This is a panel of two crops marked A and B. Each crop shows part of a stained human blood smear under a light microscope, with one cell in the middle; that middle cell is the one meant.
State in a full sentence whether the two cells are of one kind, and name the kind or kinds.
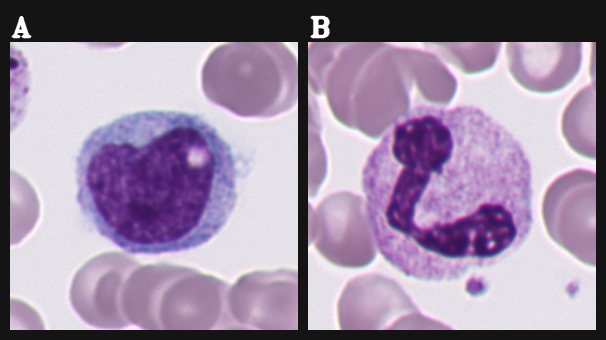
No, the cell shown in crop A is a monocyte, and the cell shown in crop B is a neutrophil.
